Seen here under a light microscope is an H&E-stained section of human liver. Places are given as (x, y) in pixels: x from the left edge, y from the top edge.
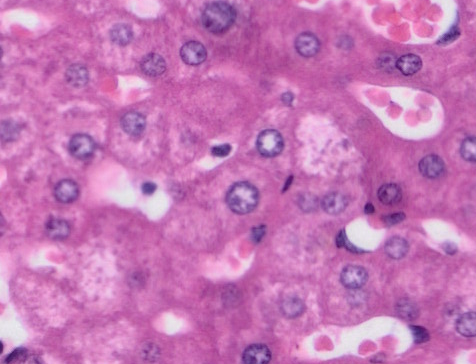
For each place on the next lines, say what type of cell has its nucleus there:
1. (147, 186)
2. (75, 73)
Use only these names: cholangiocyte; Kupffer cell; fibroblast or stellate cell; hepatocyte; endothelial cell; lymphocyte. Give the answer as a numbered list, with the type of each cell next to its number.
1. lymphocyte
2. hepatocyte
